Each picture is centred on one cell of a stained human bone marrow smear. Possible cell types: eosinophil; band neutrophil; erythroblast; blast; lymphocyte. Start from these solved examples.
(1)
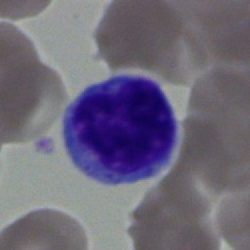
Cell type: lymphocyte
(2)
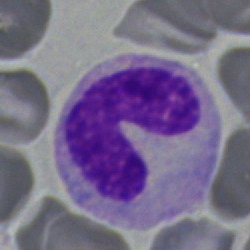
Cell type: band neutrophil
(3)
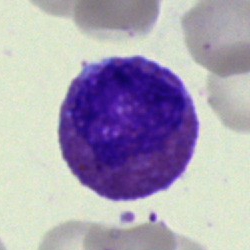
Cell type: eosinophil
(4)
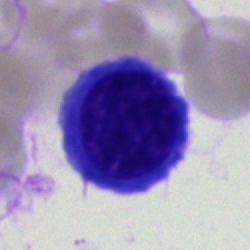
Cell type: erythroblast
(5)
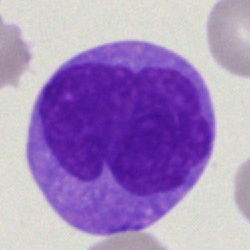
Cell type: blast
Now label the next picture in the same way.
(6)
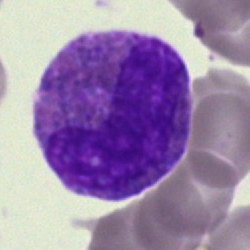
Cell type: eosinophil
